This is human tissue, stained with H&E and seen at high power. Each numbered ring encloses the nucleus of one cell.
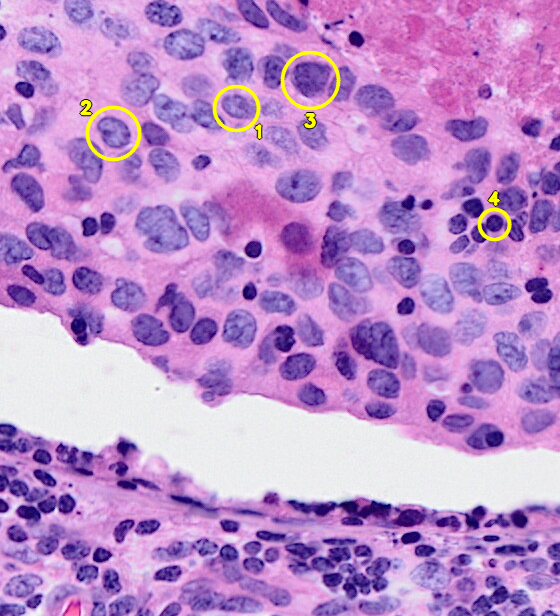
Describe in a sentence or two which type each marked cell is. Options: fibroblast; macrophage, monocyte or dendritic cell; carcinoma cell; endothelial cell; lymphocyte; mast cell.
Cells 1, 2 and 3 are carcinoma cells. Cell 4 is a lymphocyte.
